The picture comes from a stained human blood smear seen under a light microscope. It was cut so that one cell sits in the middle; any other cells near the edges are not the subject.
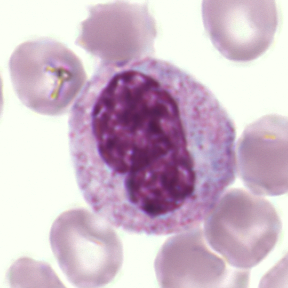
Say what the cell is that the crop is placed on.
metamyelocyte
